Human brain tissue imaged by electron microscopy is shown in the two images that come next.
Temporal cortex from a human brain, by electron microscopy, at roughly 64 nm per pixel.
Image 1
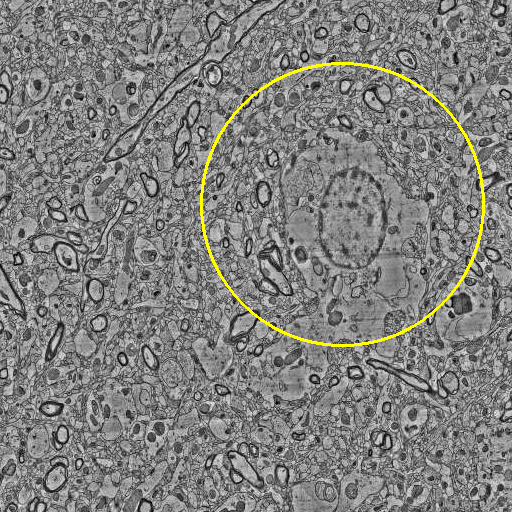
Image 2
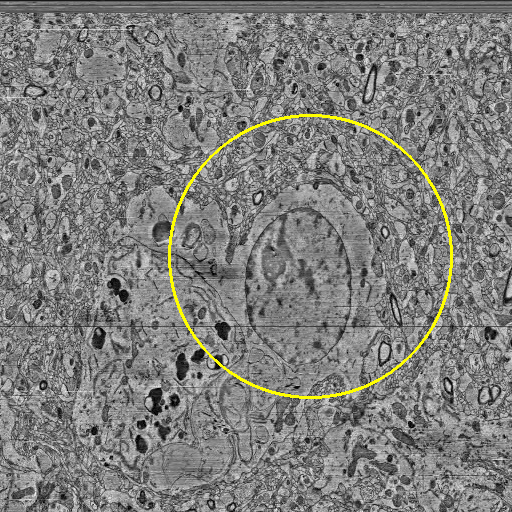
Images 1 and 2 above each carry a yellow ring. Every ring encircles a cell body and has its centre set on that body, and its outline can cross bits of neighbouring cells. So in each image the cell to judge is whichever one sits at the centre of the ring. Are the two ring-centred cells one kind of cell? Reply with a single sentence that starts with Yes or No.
Yes, in Image 1 and Image 2 the cells at the centres of their rings fall into one type.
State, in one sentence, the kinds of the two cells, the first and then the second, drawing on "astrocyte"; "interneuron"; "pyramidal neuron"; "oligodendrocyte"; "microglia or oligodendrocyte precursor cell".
Both rings mark an astrocyte, one in each picture.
